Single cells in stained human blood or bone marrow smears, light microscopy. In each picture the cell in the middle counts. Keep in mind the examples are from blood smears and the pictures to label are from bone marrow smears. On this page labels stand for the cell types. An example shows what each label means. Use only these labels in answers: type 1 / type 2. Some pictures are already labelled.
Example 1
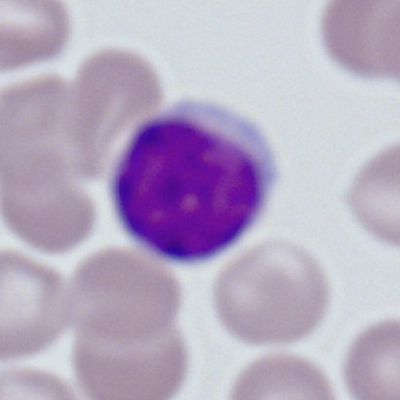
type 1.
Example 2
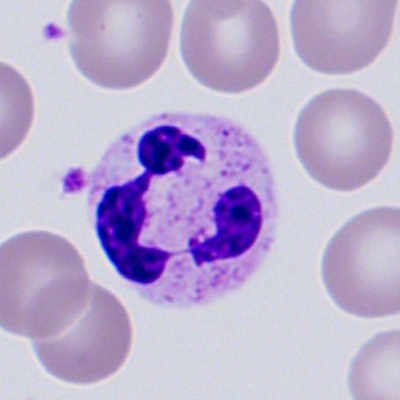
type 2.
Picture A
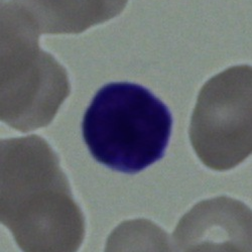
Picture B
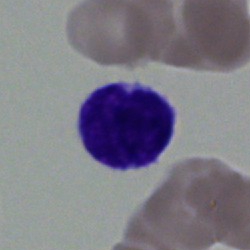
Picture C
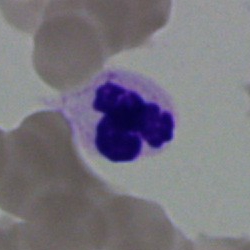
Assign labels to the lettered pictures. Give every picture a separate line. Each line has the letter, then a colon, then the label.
A: type 1.
B: type 1.
C: type 2.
